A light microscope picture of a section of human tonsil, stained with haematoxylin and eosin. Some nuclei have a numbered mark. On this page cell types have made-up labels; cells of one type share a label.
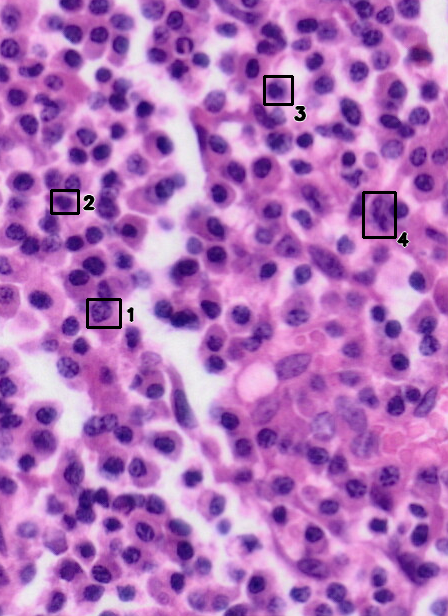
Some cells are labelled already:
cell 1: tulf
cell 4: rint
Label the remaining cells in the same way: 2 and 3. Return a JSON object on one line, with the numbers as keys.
{"2": "tulf", "3": "tulf"}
